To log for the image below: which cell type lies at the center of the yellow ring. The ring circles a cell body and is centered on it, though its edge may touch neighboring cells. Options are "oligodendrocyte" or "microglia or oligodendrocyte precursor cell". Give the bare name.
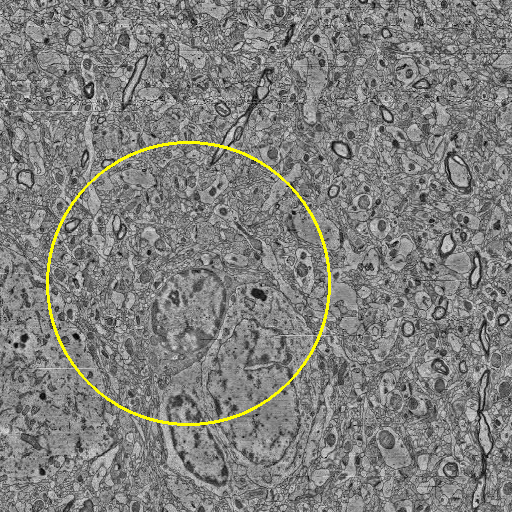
oligodendrocyte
